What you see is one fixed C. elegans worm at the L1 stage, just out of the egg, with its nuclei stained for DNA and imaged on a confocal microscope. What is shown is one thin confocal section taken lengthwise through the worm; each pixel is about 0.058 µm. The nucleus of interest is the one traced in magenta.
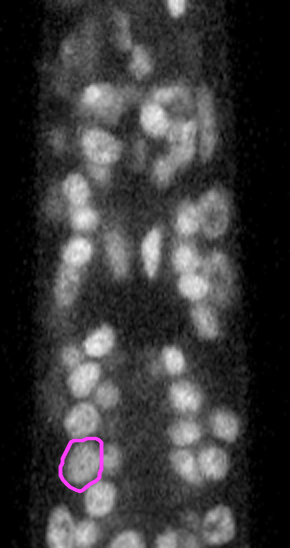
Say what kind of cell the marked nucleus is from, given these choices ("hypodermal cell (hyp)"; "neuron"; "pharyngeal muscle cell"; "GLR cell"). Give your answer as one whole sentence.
It belongs to a neuron.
